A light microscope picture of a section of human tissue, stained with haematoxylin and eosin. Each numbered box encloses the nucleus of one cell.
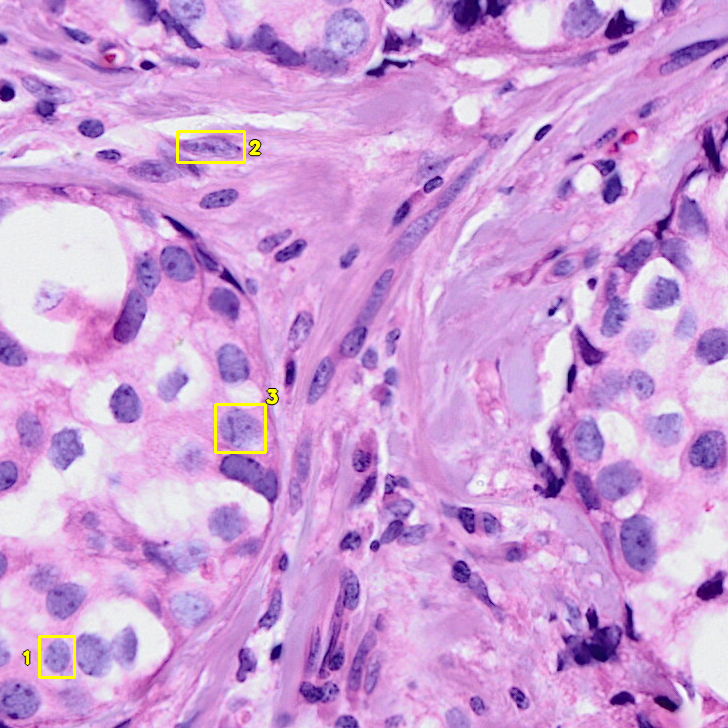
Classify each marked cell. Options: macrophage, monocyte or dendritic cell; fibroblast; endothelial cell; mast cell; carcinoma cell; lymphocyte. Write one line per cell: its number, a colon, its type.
1: carcinoma cell
2: fibroblast
3: carcinoma cell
